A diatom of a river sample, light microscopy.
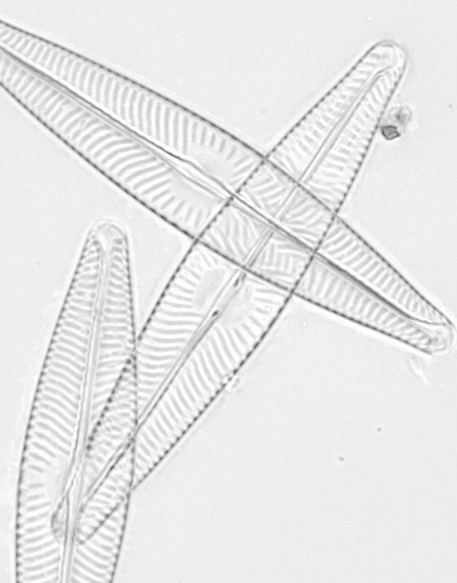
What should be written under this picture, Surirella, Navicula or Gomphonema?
Navicula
